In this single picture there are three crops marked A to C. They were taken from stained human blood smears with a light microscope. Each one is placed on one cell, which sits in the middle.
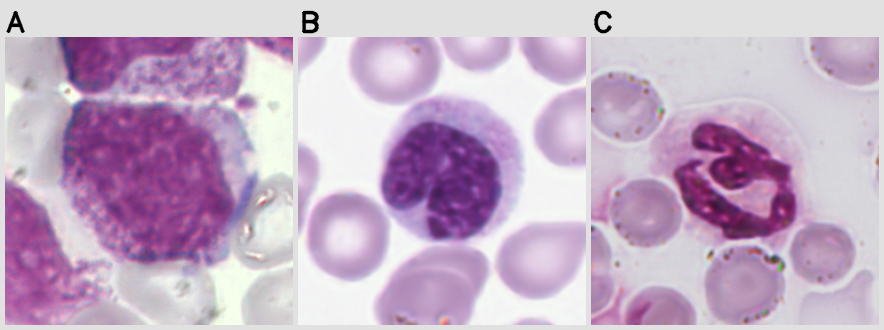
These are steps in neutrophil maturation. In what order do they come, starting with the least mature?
A, B, C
